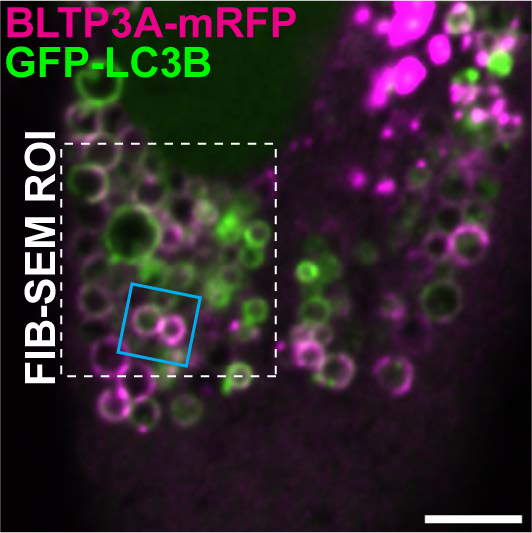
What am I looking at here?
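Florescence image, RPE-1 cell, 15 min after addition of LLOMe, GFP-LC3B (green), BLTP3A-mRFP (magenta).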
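Part of a cell shows many round ring-shaped organelles of similar size crowded together on a dark background. Some rings are green, some magenta, and some show both colours around their circumference. Solid magenta blobs lie at the upper right edge. A dashed rectangle frames a group of rings and a small blue square marks a pair of adjoining magenta rings inside it. The rings are lysosomes outlined at their surface.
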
